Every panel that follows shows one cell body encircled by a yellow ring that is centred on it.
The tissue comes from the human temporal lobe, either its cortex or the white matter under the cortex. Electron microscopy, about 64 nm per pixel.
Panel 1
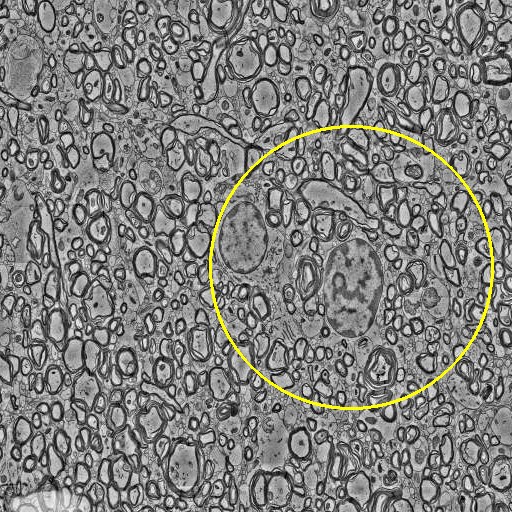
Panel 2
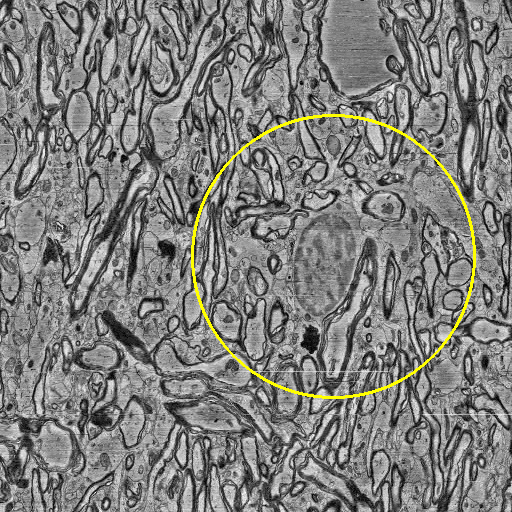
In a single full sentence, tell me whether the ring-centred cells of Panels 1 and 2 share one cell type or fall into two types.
In Panel 1 and Panel 2, the cells at the ring centres fall into two types.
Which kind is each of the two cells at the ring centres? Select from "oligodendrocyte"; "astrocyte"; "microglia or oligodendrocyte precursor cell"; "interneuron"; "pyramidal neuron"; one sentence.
The cell at the centre of the ring is a microglial cell or oligodendrocyte precursor cell in the first picture and an oligodendrocyte in the second.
